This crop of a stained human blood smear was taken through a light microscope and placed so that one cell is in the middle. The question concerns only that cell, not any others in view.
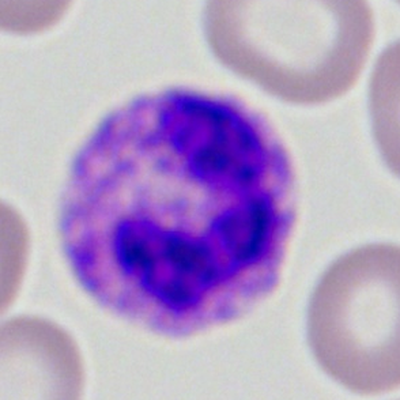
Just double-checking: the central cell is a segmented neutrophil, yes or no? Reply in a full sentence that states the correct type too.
No, mark the middle cell as an eosinophil, not a segmented neutrophil.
